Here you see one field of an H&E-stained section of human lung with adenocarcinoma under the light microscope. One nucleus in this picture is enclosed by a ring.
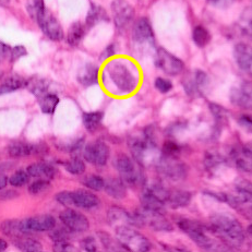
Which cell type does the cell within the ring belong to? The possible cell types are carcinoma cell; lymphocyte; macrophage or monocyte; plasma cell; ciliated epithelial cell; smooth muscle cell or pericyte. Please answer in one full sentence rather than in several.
As a matter of cell type, the cell within the ring is a ciliated epithelial cell.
